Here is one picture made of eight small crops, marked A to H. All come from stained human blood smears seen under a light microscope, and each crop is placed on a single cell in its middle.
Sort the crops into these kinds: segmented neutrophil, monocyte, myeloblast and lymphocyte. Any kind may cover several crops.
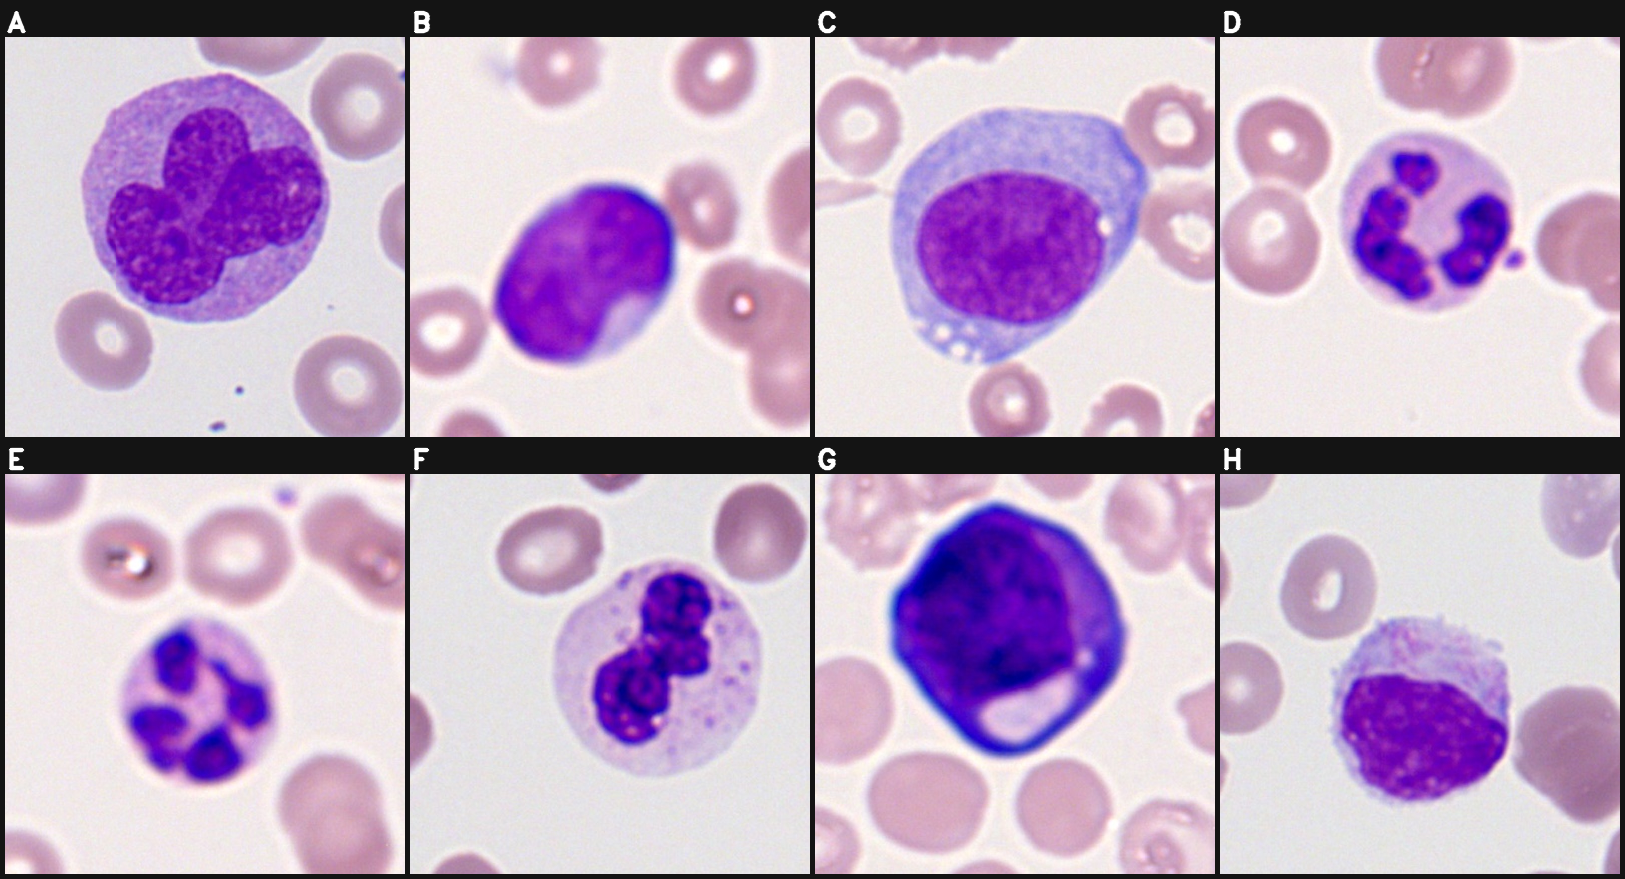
A: monocyte
B: myeloblast
C: myeloblast
D: segmented neutrophil
E: segmented neutrophil
F: segmented neutrophil
G: myeloblast
H: lymphocyte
